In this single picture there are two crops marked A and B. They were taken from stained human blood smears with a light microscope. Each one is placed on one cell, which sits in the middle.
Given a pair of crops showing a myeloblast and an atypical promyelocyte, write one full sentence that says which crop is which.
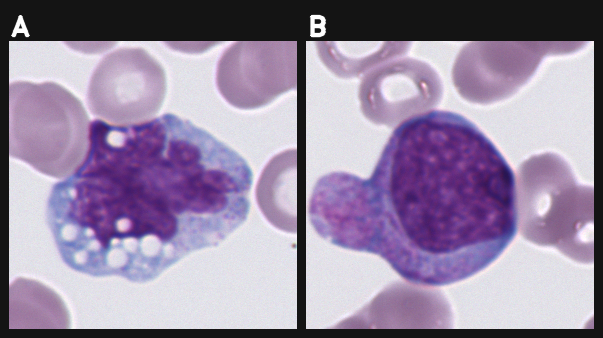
Crop A is classified as a myeloblast, and crop B as an atypical promyelocyte.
